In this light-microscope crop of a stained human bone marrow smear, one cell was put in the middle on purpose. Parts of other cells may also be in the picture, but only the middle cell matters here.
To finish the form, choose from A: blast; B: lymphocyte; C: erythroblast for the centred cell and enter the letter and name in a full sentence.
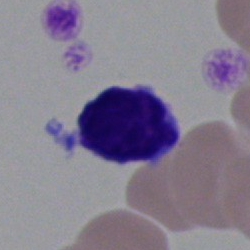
Option B is the correct one; it names the central cell as a lymphocyte.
